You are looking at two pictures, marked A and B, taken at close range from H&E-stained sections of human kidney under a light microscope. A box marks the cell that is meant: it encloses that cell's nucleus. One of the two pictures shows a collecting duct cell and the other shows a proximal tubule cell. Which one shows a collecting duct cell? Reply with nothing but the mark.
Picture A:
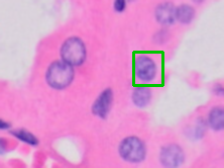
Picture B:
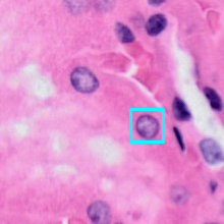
A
